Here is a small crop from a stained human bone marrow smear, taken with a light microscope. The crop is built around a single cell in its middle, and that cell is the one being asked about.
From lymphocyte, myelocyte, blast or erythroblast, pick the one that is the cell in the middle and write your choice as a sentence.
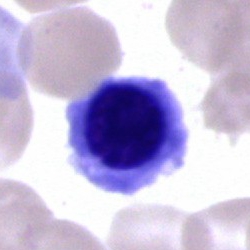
The single cell at the center of the crop is an erythroblast.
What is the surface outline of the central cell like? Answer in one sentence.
The periphery of this cell is uneven, with ragged portions or projections.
